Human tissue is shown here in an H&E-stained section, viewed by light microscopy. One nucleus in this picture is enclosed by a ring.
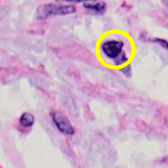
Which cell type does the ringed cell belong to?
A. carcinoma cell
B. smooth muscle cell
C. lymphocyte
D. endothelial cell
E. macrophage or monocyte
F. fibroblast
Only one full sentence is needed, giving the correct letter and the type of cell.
Looking at the options, pick C; the ringed cell is a lymphocyte.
